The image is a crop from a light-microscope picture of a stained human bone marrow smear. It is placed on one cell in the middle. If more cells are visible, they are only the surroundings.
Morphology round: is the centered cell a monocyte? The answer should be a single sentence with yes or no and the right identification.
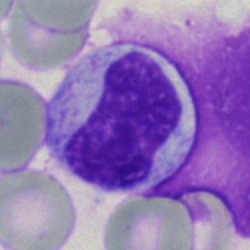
No, it is a metamyelocyte rather than a monocyte that the middle of the crop contains.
